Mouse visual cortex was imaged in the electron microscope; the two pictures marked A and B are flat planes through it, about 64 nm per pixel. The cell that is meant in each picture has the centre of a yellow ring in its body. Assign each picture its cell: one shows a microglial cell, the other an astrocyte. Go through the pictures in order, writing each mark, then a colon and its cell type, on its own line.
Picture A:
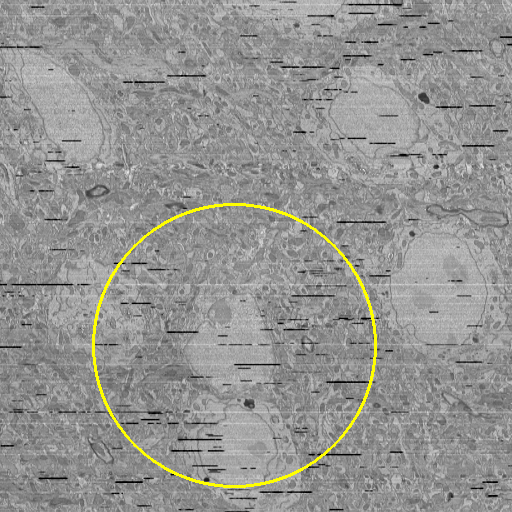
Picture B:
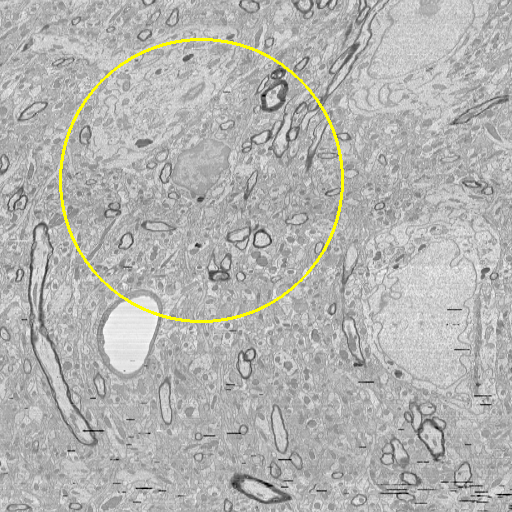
A: astrocyte
B: microglial cell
